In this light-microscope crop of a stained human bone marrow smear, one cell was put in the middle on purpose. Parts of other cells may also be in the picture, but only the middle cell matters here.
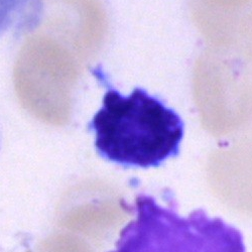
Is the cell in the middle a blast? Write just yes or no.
no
